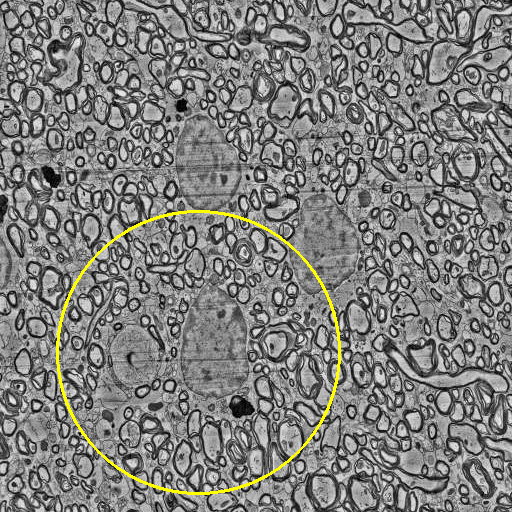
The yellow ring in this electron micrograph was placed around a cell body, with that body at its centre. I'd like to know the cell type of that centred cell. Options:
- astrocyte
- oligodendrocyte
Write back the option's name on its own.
oligodendrocyte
